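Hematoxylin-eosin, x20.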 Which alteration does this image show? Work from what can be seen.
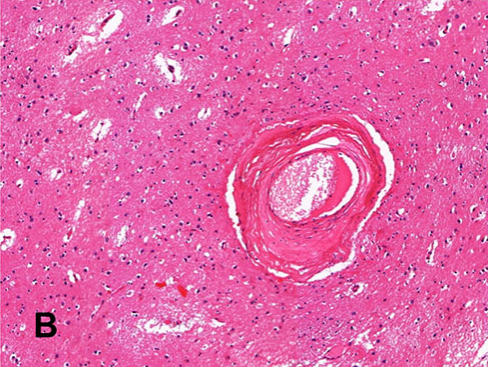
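One vessel has a very thick, concentrically layered pink wall.
Hence: thickened walls.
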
